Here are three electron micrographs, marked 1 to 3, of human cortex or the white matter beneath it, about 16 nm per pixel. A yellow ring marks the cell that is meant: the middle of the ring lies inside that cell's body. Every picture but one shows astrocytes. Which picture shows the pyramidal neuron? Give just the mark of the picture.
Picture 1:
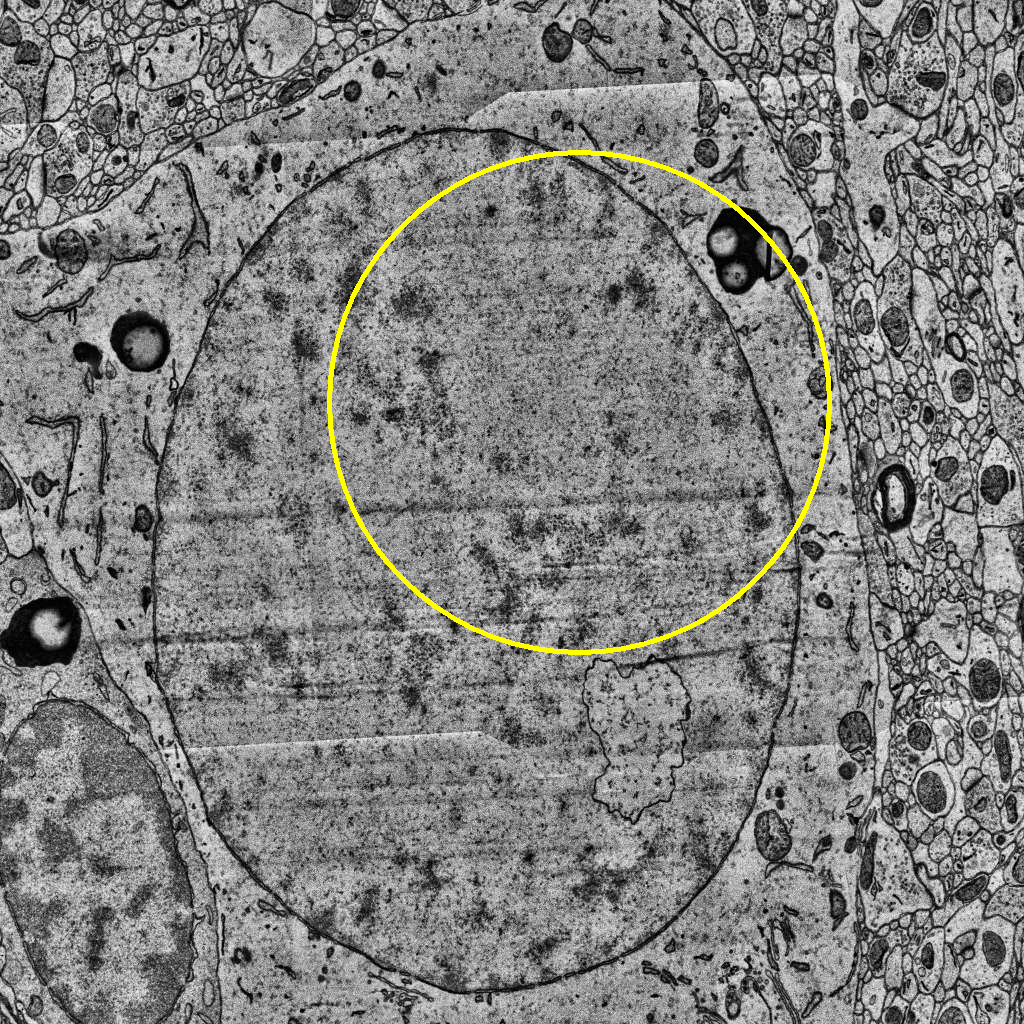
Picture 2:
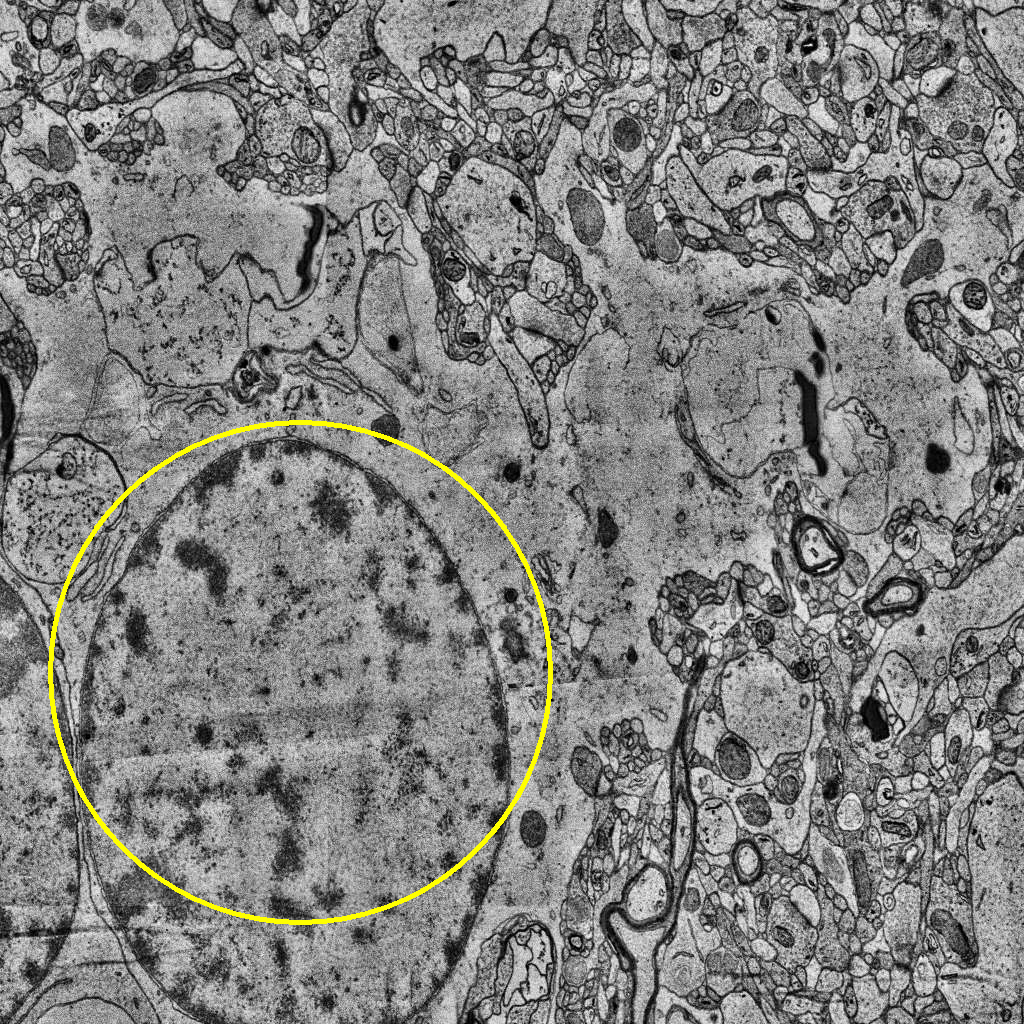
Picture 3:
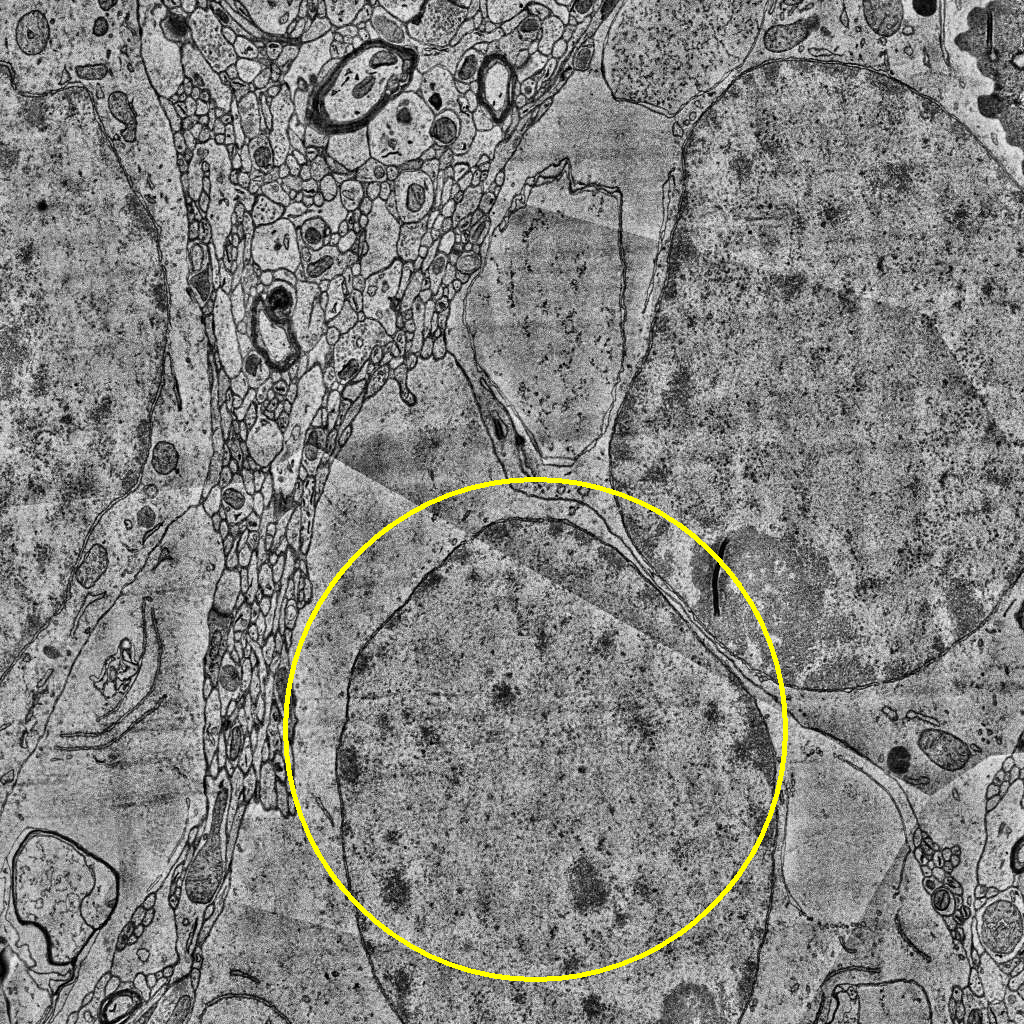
1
